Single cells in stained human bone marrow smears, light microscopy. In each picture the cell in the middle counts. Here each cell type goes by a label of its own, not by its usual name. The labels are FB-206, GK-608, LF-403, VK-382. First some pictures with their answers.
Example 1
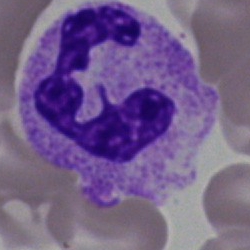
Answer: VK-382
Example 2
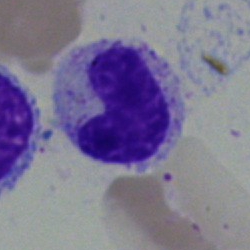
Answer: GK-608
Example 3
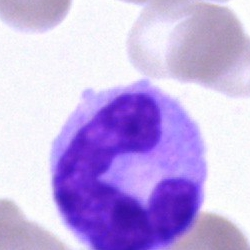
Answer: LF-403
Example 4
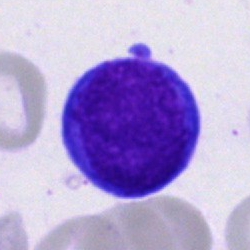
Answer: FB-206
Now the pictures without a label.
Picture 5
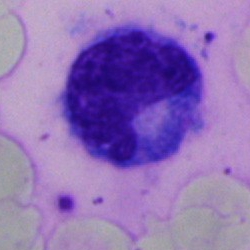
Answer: LF-403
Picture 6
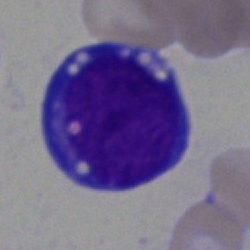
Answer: FB-206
